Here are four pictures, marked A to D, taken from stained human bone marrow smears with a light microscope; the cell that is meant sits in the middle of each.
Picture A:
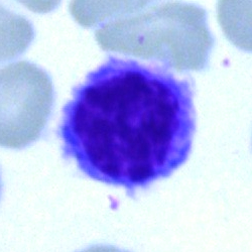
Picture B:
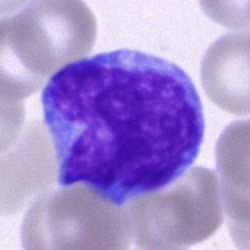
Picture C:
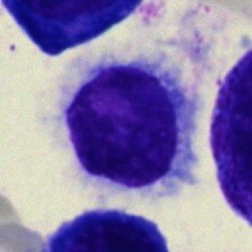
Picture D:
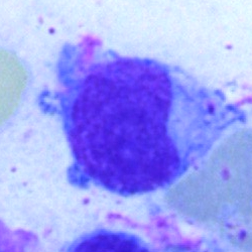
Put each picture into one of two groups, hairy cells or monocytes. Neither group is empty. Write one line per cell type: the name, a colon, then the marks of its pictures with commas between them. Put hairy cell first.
hairy cell: A, C, D
monocyte: B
